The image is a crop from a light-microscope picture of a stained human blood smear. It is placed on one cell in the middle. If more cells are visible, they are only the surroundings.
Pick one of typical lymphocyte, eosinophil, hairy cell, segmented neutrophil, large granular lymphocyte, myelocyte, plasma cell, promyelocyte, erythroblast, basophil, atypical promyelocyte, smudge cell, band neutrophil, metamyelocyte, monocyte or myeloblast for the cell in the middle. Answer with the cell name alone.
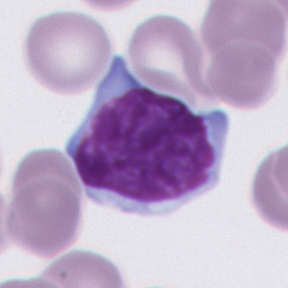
typical lymphocyte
